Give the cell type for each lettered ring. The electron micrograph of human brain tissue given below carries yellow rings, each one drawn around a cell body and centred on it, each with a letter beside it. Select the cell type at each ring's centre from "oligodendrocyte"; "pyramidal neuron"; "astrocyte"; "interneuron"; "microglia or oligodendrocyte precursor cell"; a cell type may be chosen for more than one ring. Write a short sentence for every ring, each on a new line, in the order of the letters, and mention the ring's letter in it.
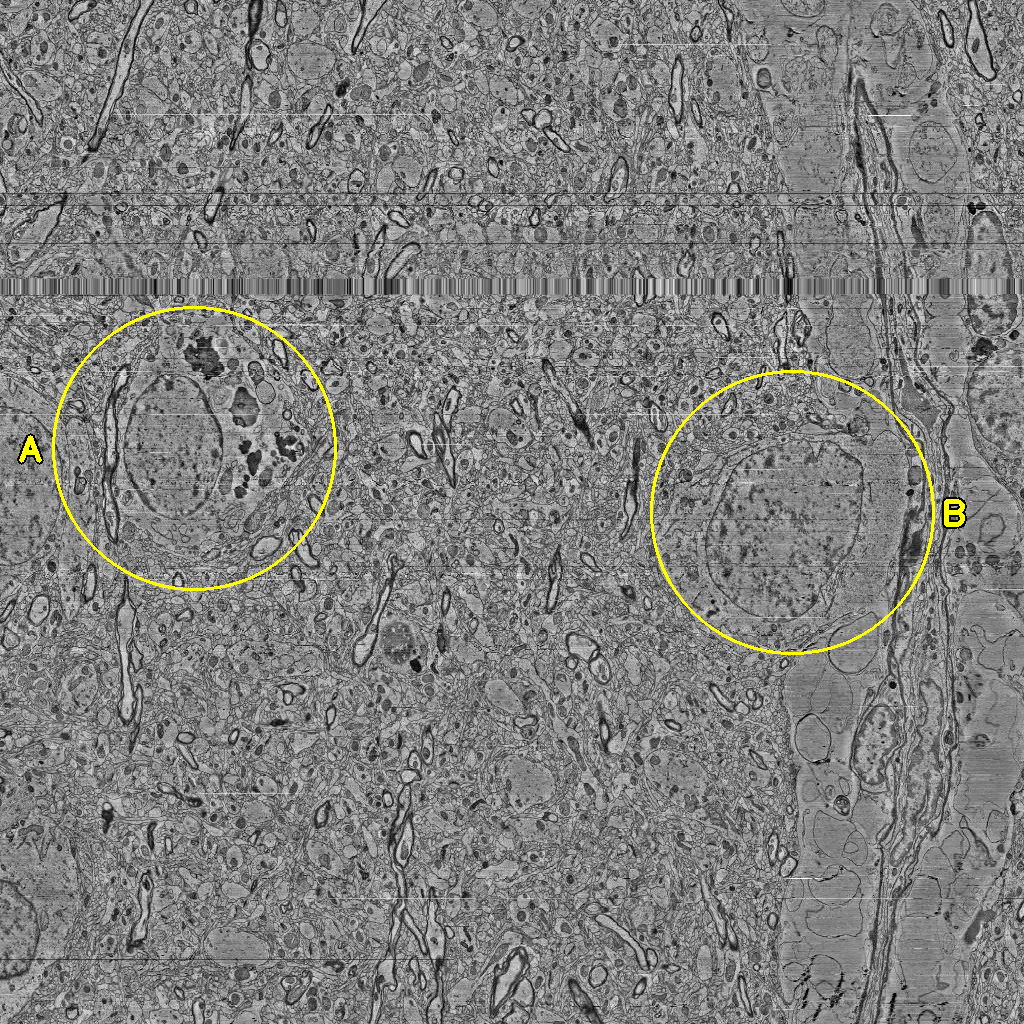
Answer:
The cell type for ring A is an astrocyte.
The cell type for ring B is a pyramidal neuron.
